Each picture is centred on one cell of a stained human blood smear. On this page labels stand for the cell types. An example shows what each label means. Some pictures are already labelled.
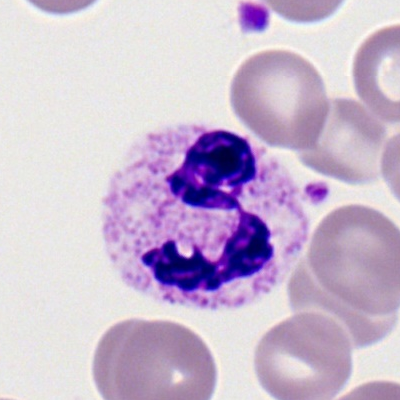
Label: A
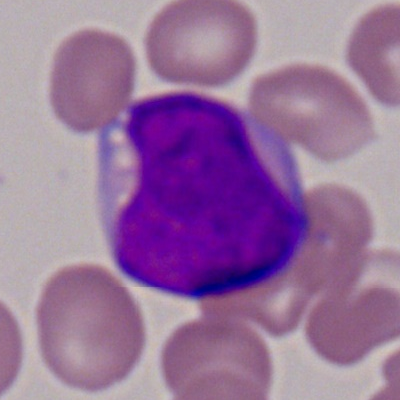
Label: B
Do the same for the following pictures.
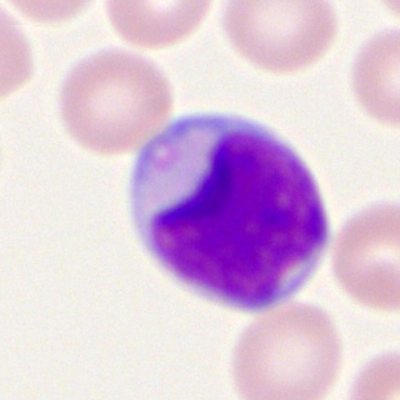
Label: B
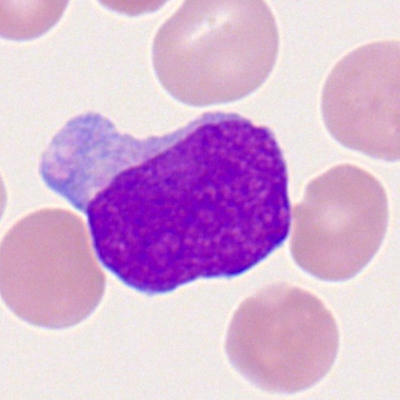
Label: B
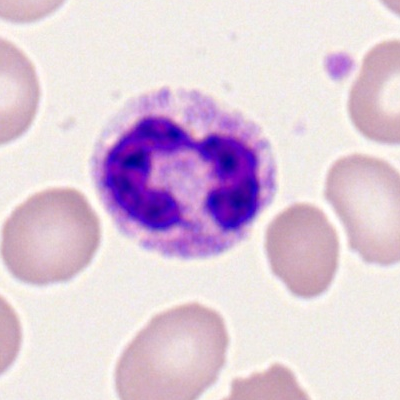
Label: A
